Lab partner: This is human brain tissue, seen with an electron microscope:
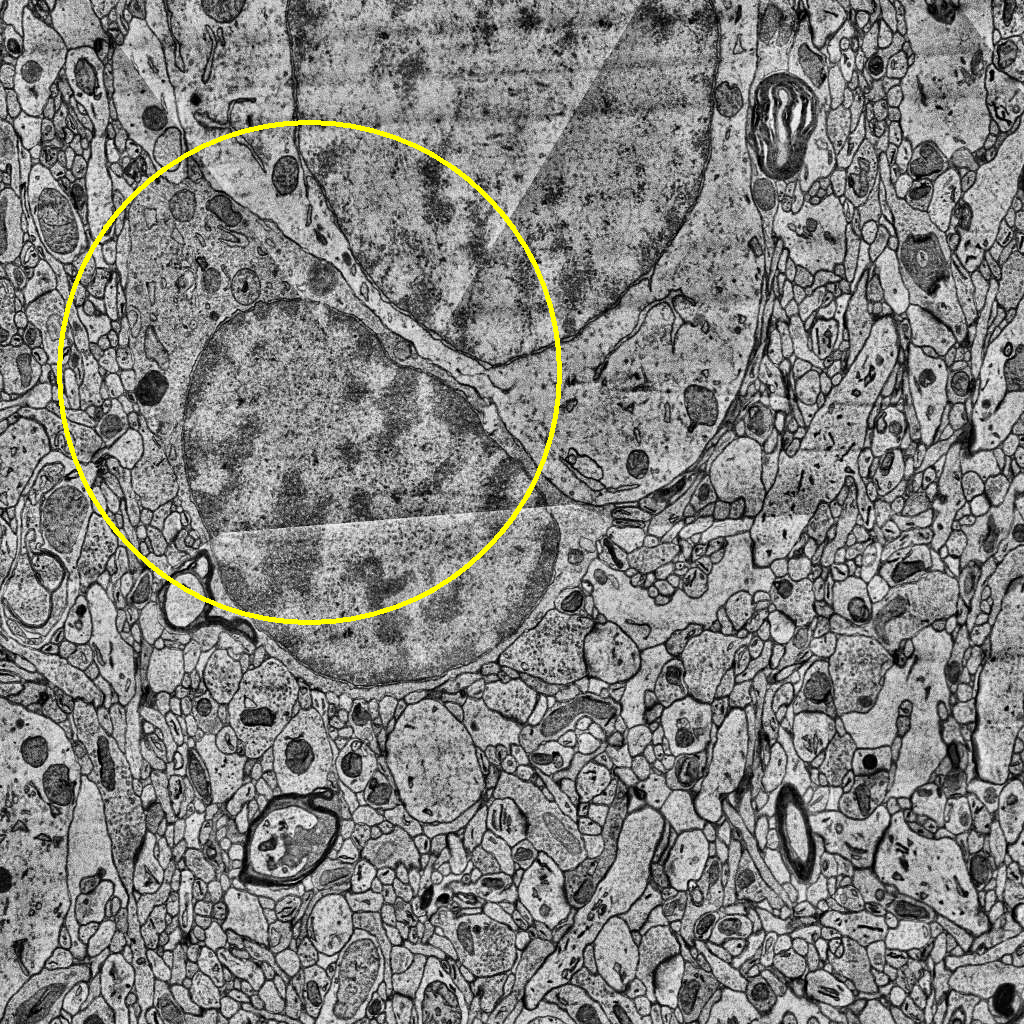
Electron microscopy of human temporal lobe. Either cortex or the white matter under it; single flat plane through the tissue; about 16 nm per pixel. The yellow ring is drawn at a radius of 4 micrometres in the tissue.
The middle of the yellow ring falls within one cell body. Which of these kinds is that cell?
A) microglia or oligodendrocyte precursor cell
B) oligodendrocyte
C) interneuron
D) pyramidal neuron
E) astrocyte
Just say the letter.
B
